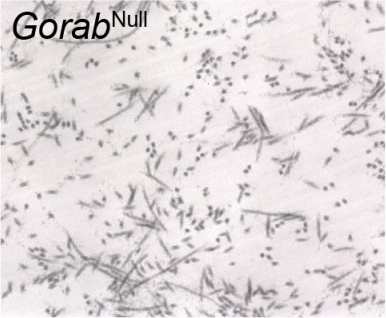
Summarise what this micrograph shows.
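This electron micrograph of skin dermis shows a disrupted collagen network in which the fibrils are no longer packed into bundles. Fibrils are scattered loosely across a pale matrix, singly or in small groups. Some are cut across and appear as dots, while others are cut lengthwise and appear as short rods pointing in many directions. Large empty spaces separate the fibrils, and no organised large bundles are seen.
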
